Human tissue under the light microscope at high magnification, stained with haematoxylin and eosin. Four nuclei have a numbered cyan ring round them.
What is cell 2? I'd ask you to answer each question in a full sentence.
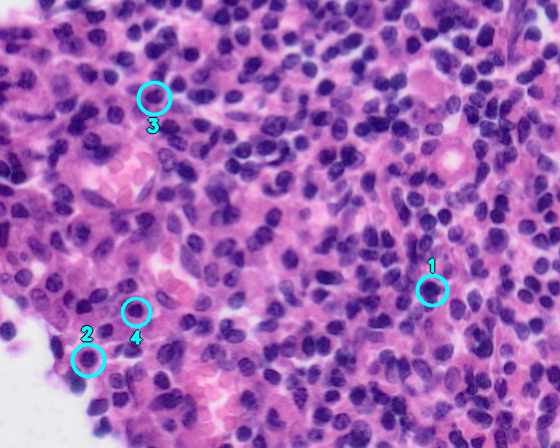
Of the numbered cells, the one labelled 2 is a plasma cell.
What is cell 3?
It is as a plasma cell that the cell numbered 3 is identified.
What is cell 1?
Cell 1, among those numbered, is a small lymphocyte.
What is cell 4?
As for number 4, that cell is a plasma cell.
